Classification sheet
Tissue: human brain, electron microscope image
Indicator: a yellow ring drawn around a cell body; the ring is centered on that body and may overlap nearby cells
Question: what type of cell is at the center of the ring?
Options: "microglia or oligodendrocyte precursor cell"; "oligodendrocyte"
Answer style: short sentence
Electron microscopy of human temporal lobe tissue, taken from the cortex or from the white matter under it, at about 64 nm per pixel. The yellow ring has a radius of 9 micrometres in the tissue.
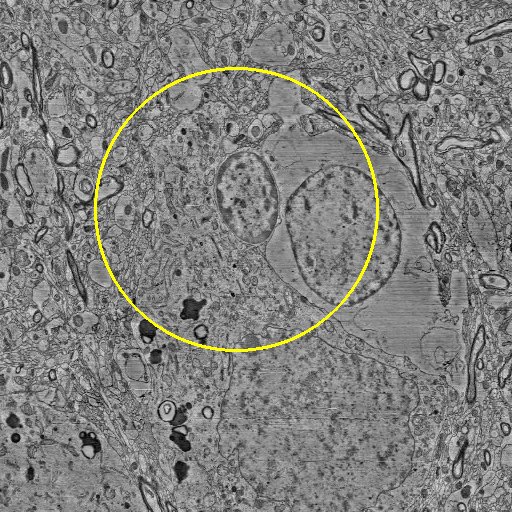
At the ring's center is a microglial cell or oligodendrocyte precursor cell.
